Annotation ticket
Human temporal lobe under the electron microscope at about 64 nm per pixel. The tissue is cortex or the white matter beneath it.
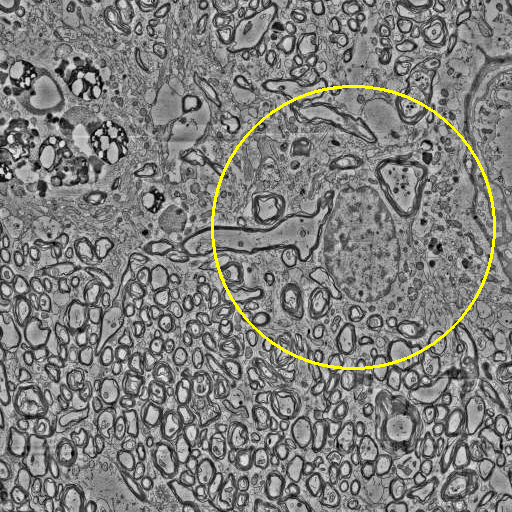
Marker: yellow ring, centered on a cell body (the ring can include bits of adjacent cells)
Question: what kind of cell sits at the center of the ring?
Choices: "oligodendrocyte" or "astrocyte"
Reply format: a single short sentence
The ring is centered on an oligodendrocyte.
